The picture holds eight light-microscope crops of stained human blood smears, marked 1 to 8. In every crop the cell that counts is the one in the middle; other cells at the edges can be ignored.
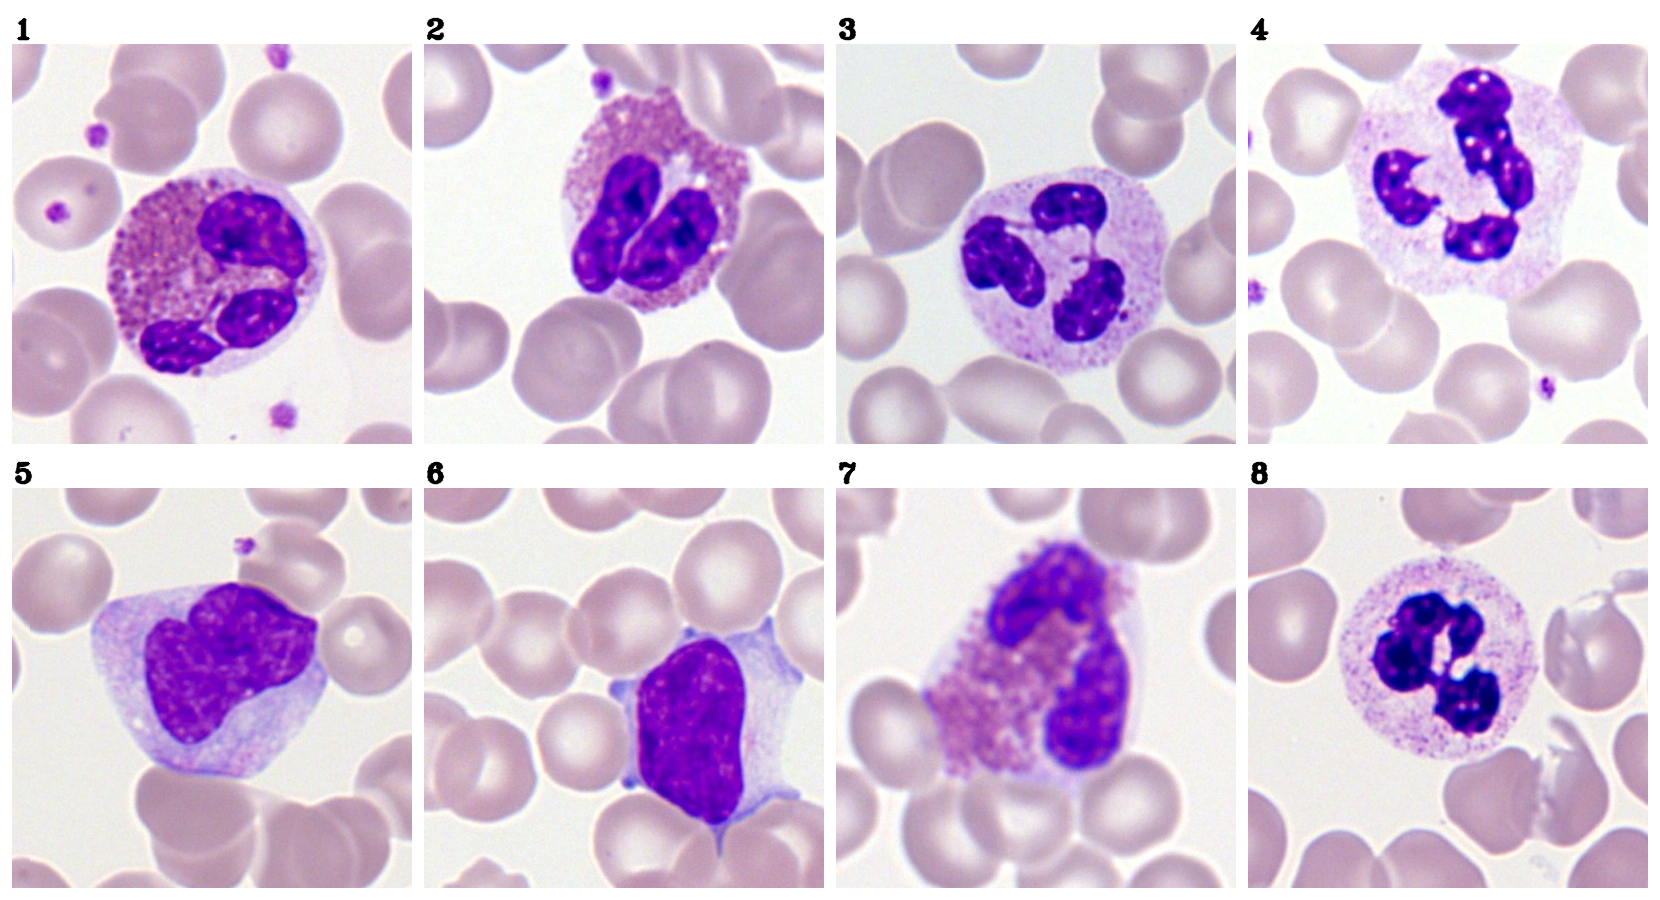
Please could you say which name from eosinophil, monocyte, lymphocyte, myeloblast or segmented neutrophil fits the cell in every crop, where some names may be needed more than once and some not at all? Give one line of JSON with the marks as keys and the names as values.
{"1": "eosinophil", "2": "eosinophil", "3": "segmented neutrophil", "4": "segmented neutrophil", "5": "monocyte", "6": "lymphocyte", "7": "eosinophil", "8": "segmented neutrophil"}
